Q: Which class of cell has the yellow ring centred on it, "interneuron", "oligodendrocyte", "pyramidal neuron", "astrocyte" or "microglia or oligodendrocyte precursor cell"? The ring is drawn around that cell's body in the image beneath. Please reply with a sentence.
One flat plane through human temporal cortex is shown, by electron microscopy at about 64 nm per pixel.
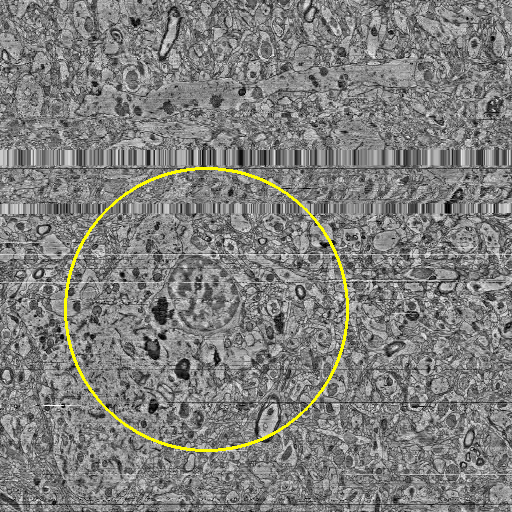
It is centred on an oligodendrocyte.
